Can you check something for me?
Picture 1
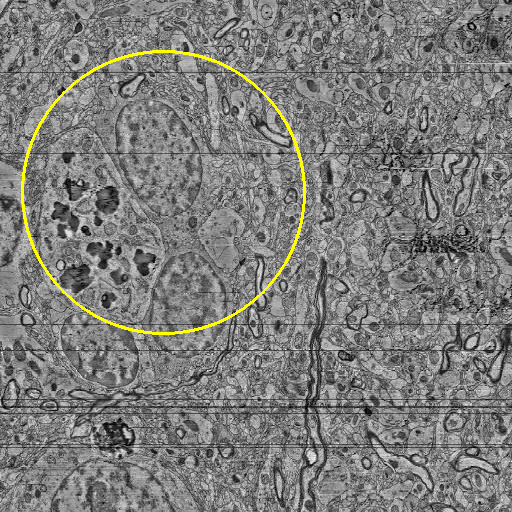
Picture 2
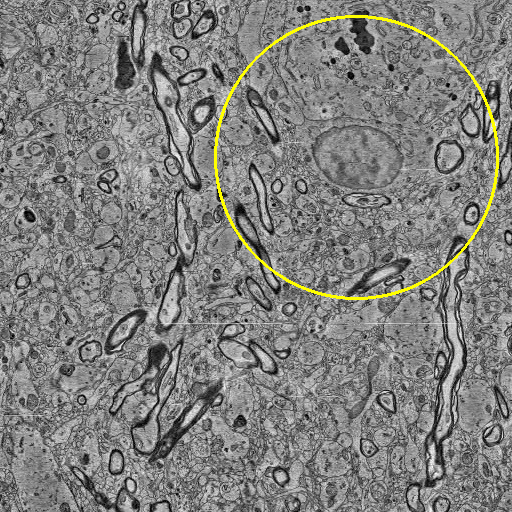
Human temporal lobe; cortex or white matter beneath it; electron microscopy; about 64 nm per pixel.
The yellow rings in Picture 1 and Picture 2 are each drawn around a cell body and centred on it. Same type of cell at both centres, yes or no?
yes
